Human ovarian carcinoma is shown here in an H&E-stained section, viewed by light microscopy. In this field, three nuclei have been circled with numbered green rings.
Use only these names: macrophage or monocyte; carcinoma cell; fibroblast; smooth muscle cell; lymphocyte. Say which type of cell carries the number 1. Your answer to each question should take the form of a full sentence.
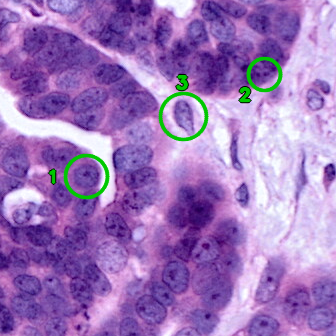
The correct label for cell 1 is a carcinoma cell.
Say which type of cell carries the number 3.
The cell indicated by marker 3 is a macrophage or monocyte in this section.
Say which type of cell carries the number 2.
In this section, the cell tagged 2 is a carcinoma cell.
